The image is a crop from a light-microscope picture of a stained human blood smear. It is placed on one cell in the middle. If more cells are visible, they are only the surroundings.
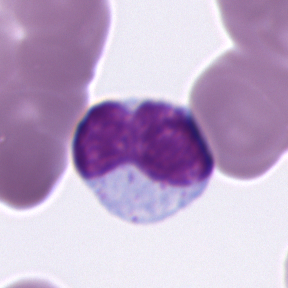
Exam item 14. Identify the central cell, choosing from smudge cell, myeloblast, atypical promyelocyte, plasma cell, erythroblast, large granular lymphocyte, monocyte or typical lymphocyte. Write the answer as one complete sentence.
In the crop, the cell of interest at the centre is a large granular lymphocyte.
